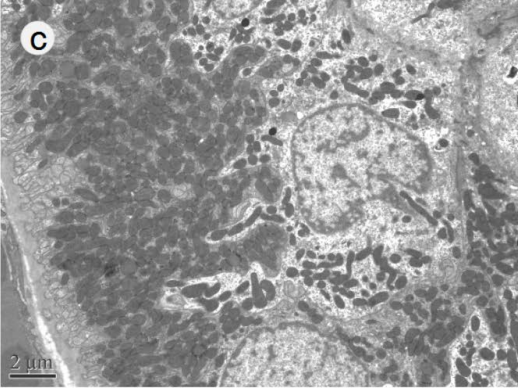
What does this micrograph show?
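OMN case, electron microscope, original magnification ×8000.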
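This electron micrograph shows a hypertrophic tubular epithelial cell whose cytoplasm is crowded with small mitochondria. The mitochondria appear as numerous dark, small oval and short rod-shaped profiles packed tightly together, most densely toward the basal side at the left. A thin basement membrane runs along the left edge of the epithelium.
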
